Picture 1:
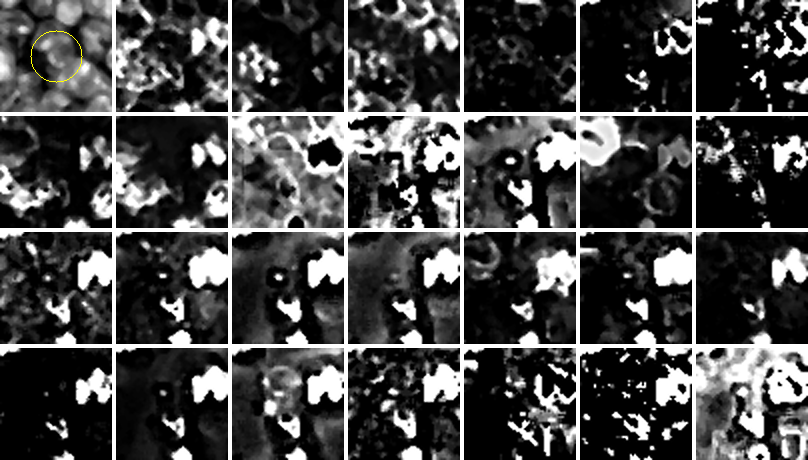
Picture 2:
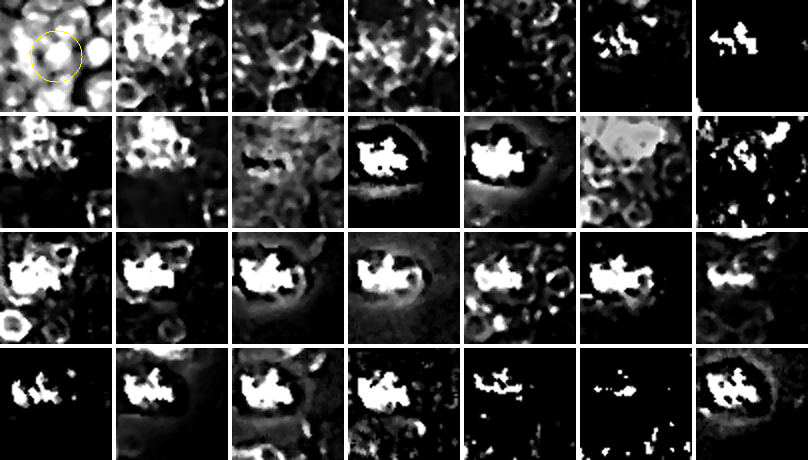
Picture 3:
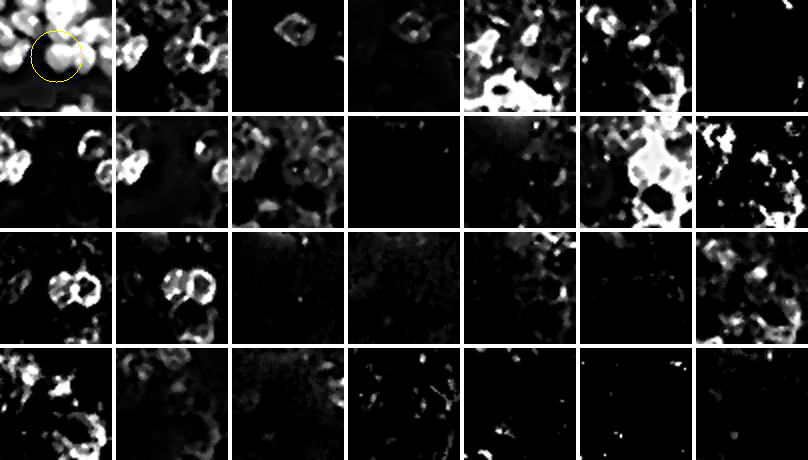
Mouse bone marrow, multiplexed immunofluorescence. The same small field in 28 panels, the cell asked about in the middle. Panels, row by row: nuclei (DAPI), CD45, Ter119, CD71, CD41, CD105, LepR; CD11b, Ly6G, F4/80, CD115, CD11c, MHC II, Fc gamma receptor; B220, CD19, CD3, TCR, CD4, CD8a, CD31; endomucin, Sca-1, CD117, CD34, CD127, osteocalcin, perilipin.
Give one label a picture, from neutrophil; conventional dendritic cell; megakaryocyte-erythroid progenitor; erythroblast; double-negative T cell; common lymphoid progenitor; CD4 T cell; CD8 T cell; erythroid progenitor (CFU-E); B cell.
1: erythroid progenitor (CFU-E)
2: conventional dendritic cell
3: B cell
